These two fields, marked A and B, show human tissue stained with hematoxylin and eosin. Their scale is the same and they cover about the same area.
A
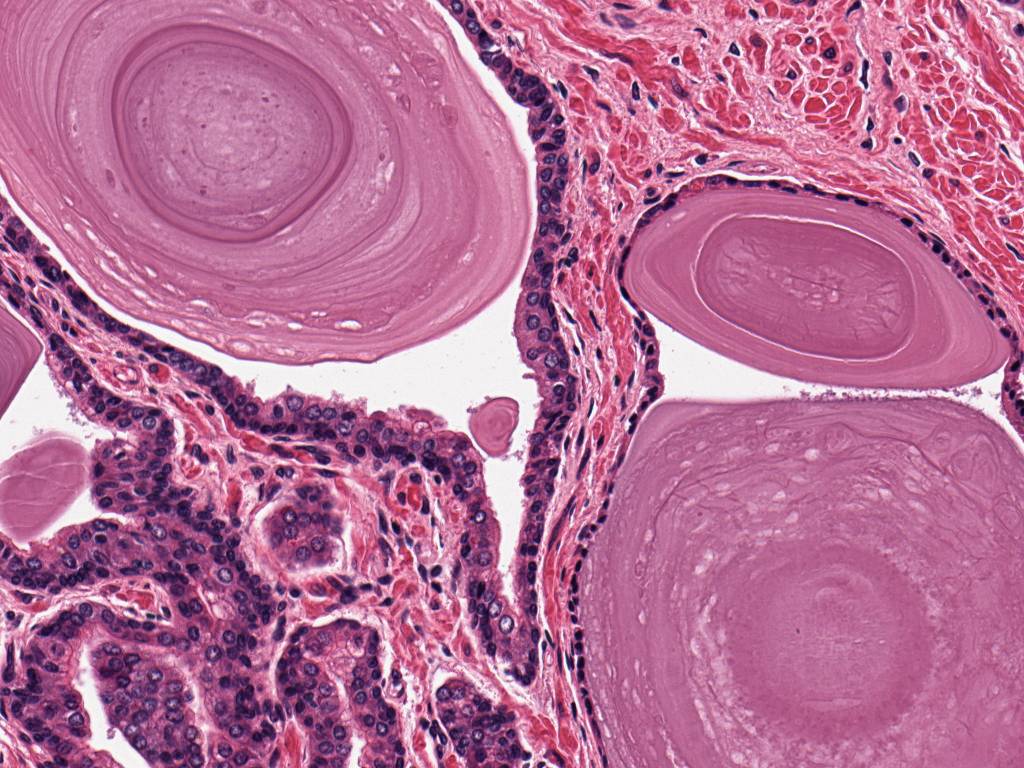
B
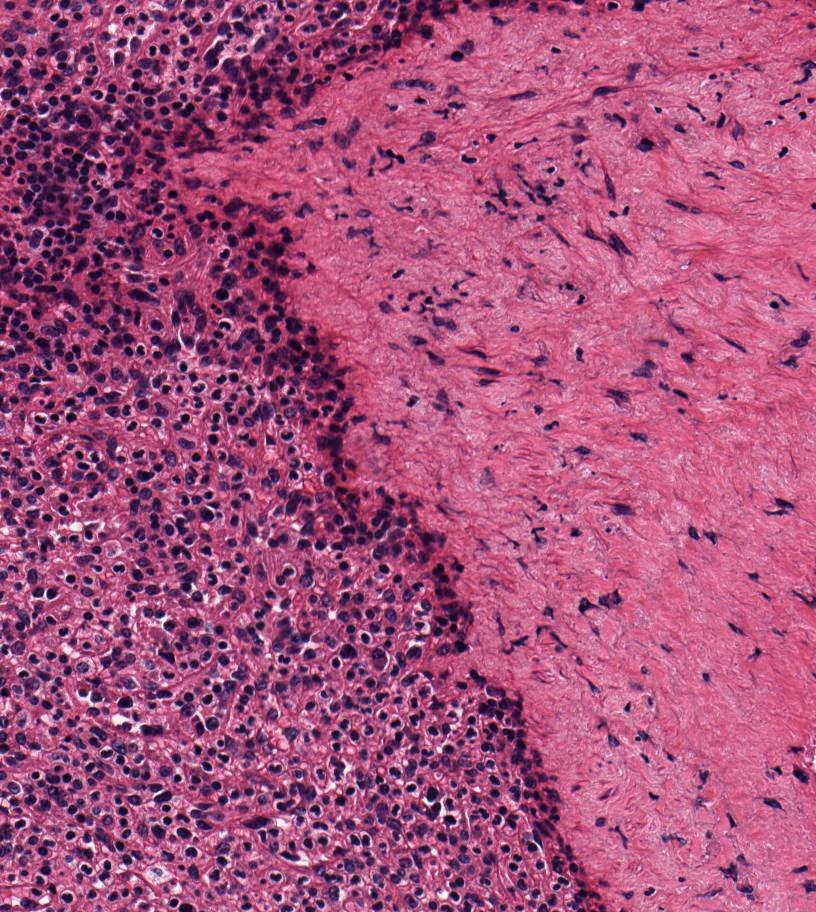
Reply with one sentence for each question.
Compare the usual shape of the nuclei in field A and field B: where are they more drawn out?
The nuclei are more elongated in field A.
